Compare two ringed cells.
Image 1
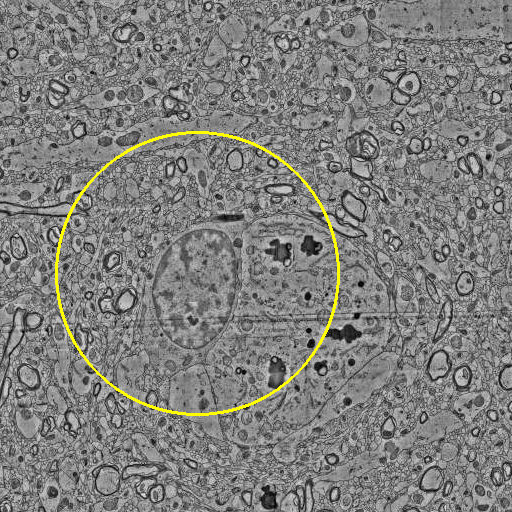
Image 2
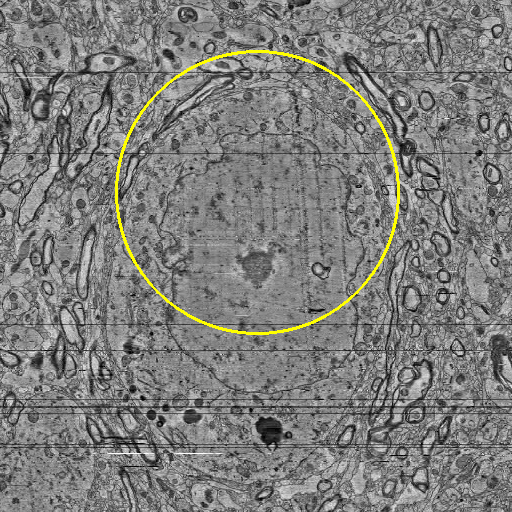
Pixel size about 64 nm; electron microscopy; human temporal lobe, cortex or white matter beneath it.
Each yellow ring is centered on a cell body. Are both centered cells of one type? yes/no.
no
